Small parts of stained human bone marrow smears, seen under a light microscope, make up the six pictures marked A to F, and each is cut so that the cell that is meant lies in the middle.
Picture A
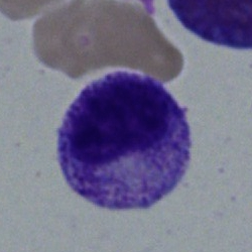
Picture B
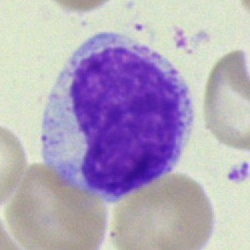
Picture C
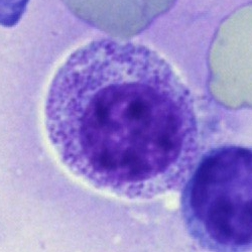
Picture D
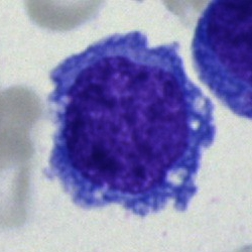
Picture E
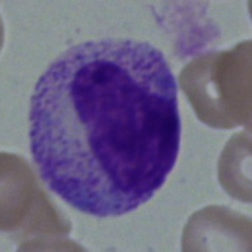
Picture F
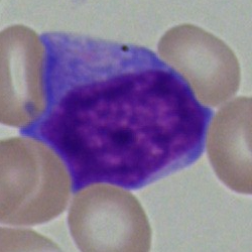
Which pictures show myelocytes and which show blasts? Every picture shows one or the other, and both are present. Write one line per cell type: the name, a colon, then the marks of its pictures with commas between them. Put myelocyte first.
myelocyte: A, B, C, E
blast: D, F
